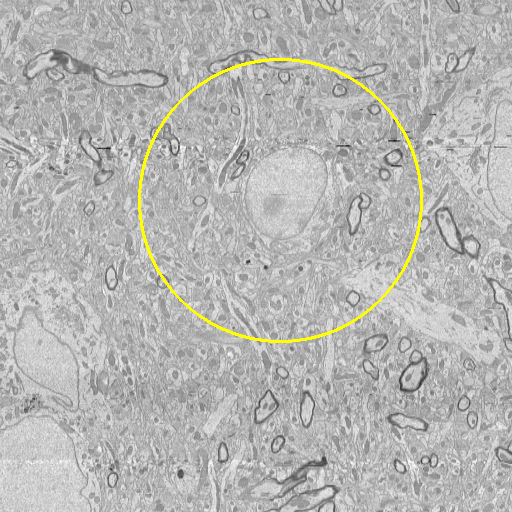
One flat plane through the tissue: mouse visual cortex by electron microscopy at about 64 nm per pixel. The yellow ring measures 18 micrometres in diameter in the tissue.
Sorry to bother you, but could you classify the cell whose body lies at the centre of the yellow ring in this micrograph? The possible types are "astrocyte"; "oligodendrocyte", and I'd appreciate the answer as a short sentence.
The ringed cell body is that of an astrocyte.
